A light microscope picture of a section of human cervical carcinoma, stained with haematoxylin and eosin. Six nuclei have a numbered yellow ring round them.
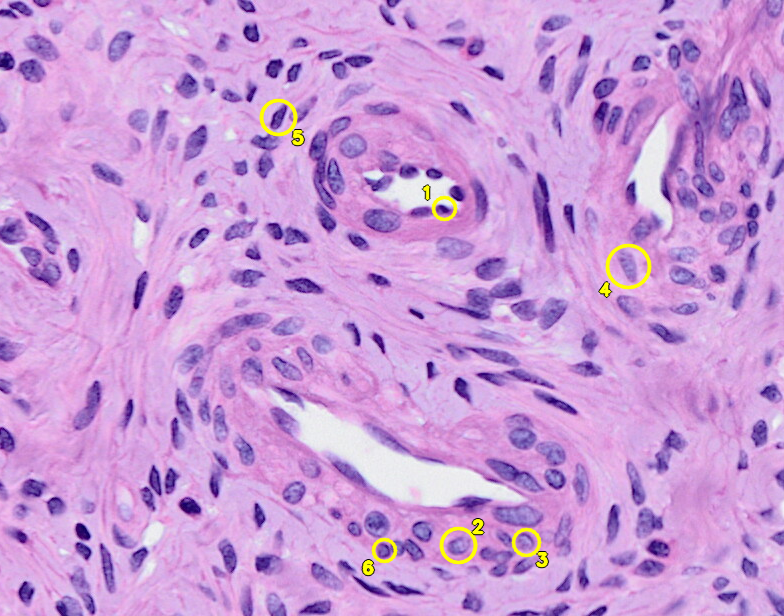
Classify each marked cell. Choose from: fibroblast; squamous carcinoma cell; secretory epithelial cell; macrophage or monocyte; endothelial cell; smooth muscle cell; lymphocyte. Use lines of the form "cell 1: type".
cell 1: endothelial cell
cell 2: smooth muscle cell
cell 3: smooth muscle cell
cell 4: smooth muscle cell
cell 5: fibroblast
cell 6: smooth muscle cell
